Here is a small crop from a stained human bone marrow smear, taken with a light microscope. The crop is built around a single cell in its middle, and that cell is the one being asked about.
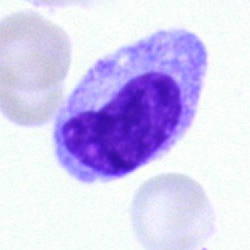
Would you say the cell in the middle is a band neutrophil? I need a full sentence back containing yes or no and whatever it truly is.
No, the middle cell is classified as a metamyelocyte and not as a band neutrophil.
